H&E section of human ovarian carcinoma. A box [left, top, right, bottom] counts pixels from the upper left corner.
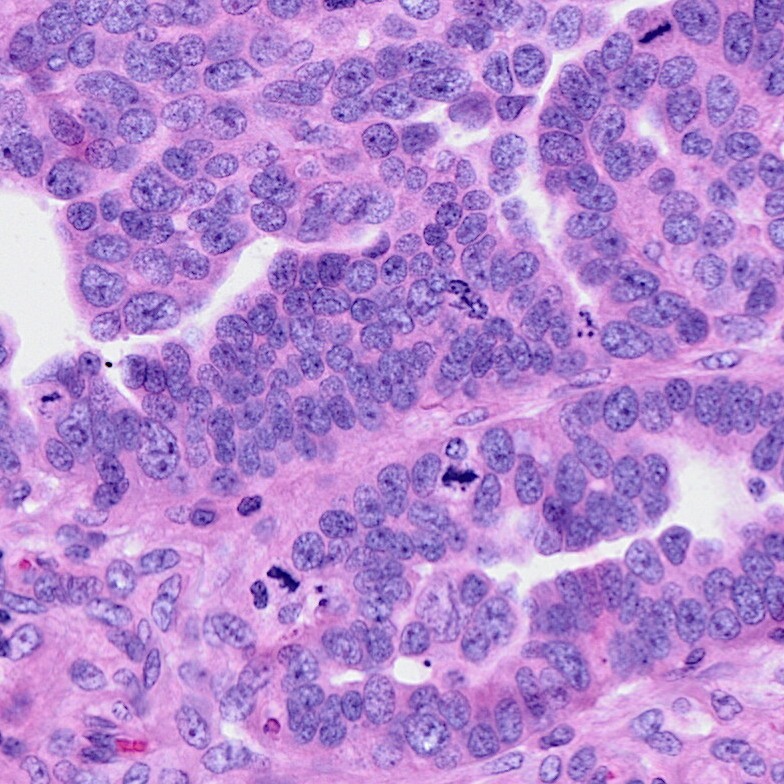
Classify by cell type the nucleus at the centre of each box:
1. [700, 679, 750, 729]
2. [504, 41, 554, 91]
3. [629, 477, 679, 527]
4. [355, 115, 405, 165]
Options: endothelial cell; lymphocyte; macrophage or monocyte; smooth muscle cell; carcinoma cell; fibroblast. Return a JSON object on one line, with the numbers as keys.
{"1": "fibroblast", "2": "carcinoma cell", "3": "carcinoma cell", "4": "carcinoma cell"}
